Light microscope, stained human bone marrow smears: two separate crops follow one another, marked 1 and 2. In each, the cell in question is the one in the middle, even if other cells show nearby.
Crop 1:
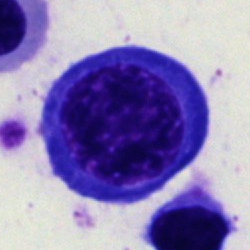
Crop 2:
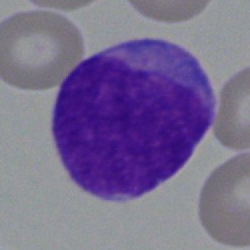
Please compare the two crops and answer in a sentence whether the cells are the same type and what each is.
No, crop 1 depicts a normoblast, and crop 2 depicts a blast.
